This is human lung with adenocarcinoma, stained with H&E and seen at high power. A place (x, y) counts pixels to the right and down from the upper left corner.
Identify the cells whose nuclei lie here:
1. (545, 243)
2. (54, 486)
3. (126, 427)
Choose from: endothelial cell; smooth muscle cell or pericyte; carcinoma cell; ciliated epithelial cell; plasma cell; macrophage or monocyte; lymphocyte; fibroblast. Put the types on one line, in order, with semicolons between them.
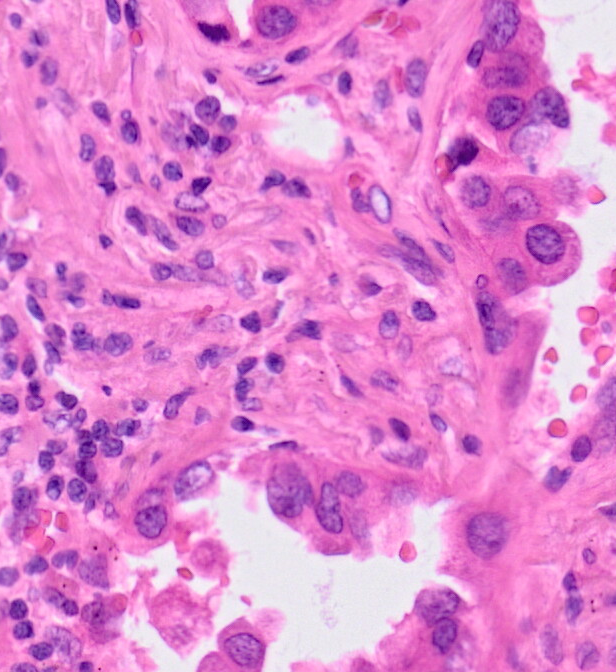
carcinoma cell; lymphocyte; lymphocyte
